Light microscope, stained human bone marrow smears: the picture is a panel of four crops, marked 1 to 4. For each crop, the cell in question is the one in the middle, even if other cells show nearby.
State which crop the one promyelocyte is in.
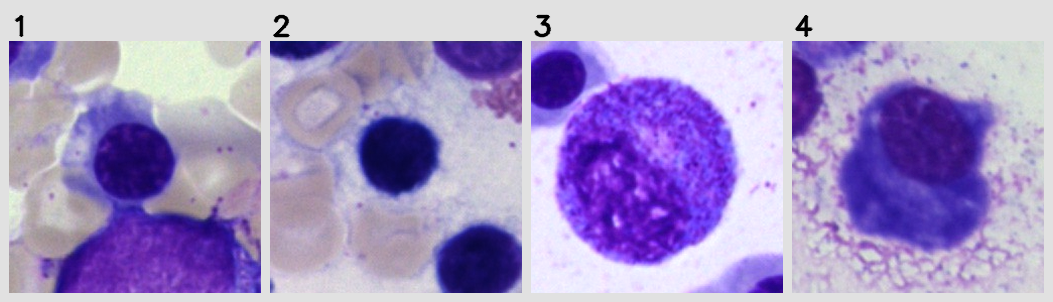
3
